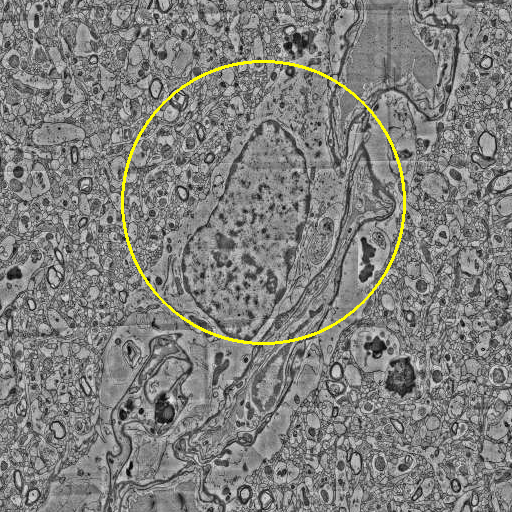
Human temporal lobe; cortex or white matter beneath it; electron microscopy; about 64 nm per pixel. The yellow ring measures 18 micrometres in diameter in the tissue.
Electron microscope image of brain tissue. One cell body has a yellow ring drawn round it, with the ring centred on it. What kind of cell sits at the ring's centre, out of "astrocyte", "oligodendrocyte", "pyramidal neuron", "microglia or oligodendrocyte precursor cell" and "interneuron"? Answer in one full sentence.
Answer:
It is a microglial cell or oligodendrocyte precursor cell whose cell body sits at the centre of the yellow ring.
